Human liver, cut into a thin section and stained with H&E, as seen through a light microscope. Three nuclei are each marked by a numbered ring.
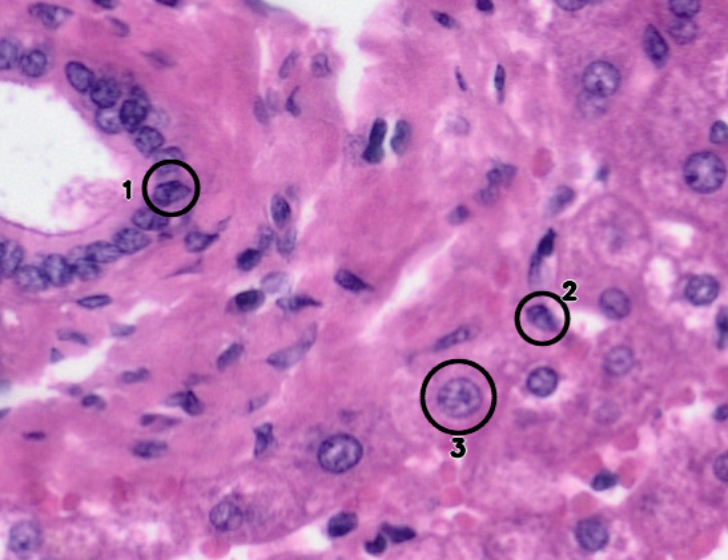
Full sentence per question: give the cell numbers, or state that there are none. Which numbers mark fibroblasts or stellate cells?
The cell labelled 2 is a fibroblast or stellate cell, while the remaining numbered cells are not.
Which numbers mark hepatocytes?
Only cell 3 should be marked as a hepatocyte.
